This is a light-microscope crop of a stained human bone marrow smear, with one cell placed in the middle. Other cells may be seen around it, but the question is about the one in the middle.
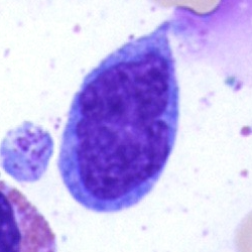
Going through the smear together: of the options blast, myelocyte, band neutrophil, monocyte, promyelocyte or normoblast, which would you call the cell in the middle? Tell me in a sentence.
In this smear crop, the middle cell is a monocyte.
